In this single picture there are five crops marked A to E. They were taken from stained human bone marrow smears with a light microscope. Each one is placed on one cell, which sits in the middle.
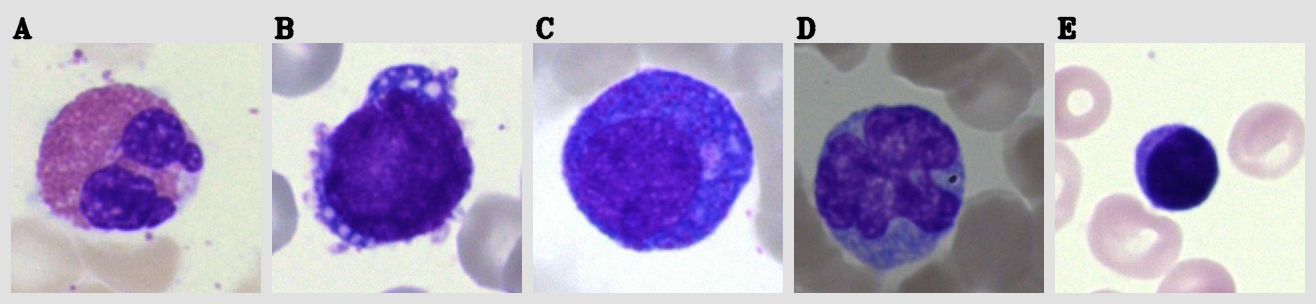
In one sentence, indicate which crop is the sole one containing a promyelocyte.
Crop C is the crop containing a promyelocyte.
